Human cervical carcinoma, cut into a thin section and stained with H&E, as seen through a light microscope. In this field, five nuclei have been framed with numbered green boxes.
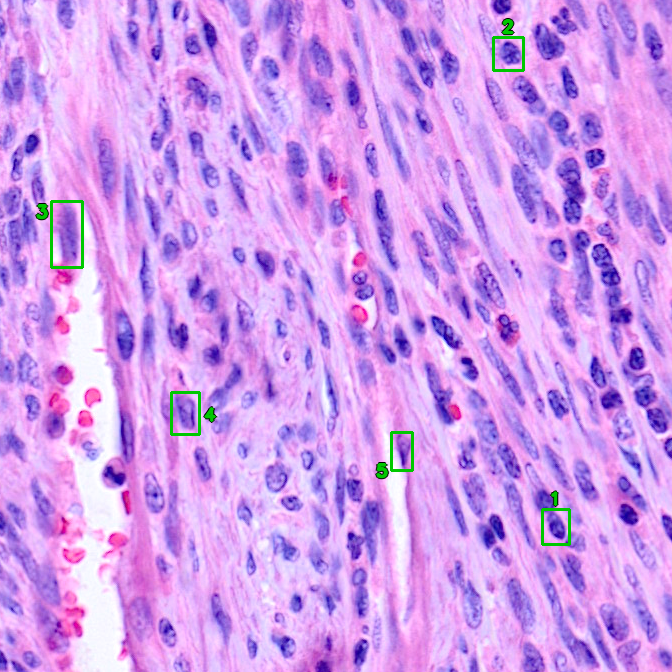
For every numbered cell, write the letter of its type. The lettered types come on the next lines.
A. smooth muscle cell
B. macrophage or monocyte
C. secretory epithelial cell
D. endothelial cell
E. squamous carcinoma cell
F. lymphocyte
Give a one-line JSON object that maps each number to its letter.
{"1": "F", "2": "F", "3": "D", "4": "B", "5": "D"}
